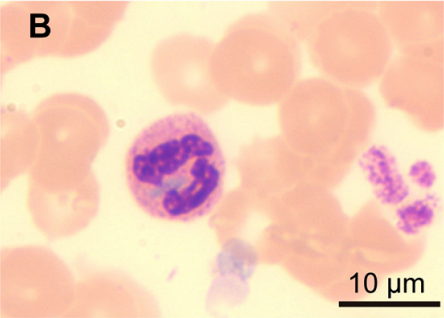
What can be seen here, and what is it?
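Among pink red blood cells lies one round white cell whose dark purple nucleus is split into several connected lobes, set in pale pink, finely granular cytoplasm. This is a segmented neutrophil; small clumped platelets lie to its right.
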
